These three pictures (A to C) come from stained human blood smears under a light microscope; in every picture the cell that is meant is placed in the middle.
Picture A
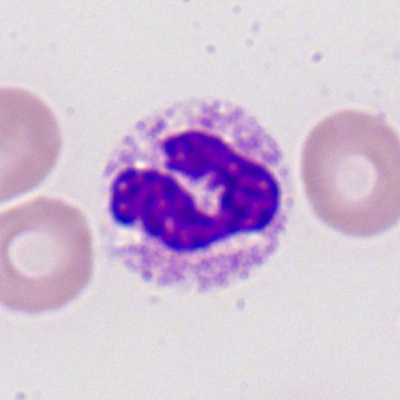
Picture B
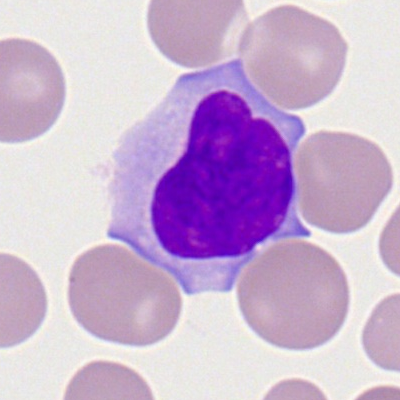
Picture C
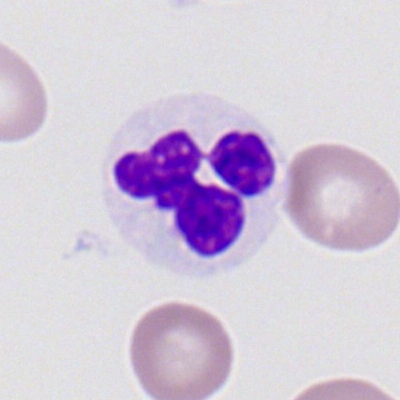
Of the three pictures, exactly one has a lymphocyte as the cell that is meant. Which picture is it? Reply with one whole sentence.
The lymphocyte is the one in picture B.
